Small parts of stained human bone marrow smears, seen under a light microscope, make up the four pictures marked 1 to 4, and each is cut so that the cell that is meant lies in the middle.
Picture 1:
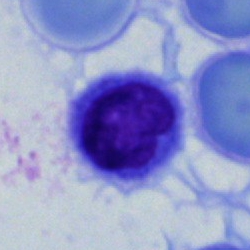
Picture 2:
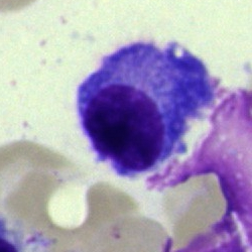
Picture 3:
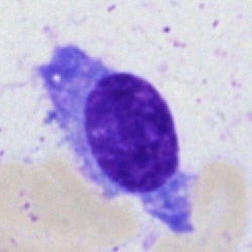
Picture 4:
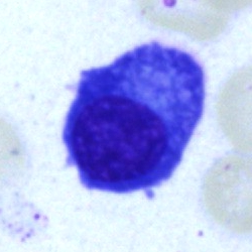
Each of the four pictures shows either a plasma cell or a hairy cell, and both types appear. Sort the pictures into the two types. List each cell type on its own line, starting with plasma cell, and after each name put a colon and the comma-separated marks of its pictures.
plasma cell: 2, 3, 4
hairy cell: 1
